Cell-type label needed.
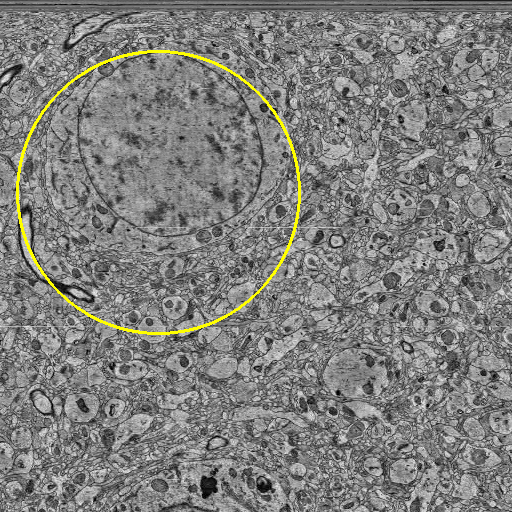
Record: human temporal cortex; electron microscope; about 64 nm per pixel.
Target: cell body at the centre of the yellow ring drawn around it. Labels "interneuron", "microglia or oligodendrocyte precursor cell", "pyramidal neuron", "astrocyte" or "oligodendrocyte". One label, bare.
pyramidal neuron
